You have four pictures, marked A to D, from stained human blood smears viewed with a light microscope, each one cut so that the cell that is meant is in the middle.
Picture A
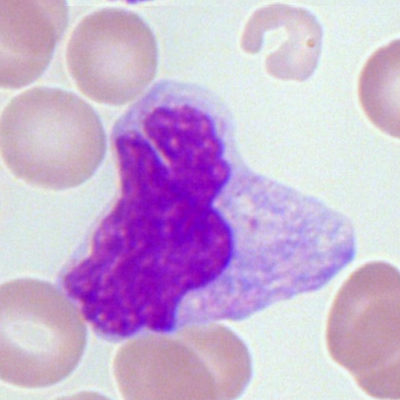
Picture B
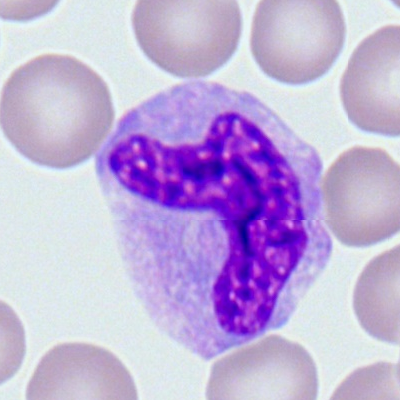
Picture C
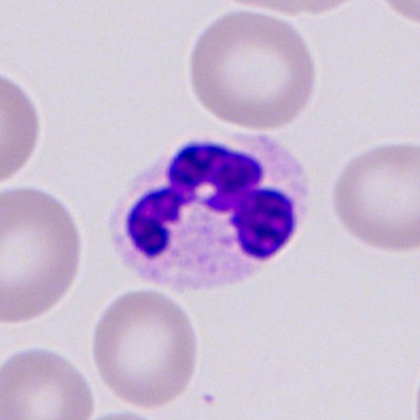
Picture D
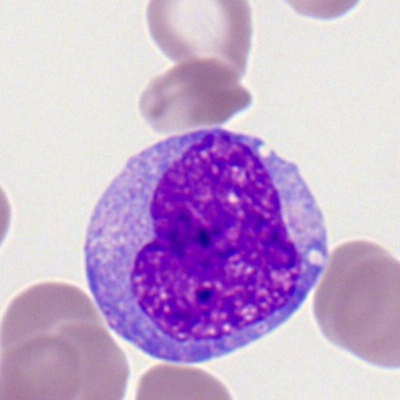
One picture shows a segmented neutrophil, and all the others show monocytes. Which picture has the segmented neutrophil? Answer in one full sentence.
The segmented neutrophil is the one in picture C.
